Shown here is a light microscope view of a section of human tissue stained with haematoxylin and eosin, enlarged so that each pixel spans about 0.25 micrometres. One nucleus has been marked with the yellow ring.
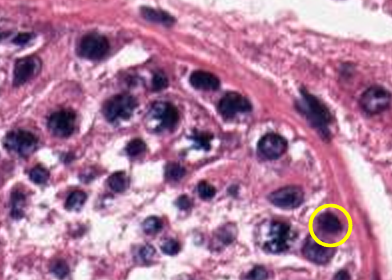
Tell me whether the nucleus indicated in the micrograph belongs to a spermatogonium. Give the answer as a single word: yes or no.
yes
